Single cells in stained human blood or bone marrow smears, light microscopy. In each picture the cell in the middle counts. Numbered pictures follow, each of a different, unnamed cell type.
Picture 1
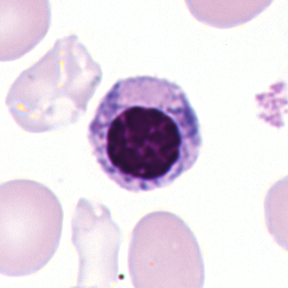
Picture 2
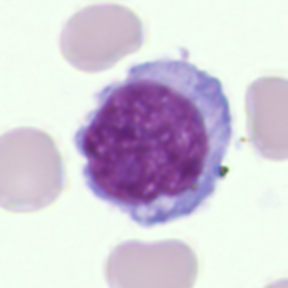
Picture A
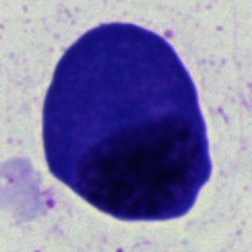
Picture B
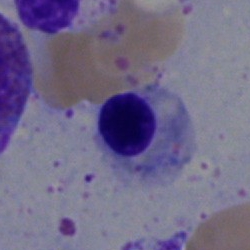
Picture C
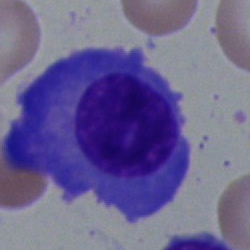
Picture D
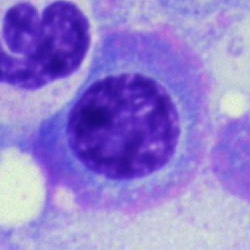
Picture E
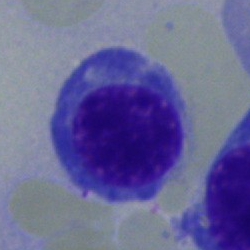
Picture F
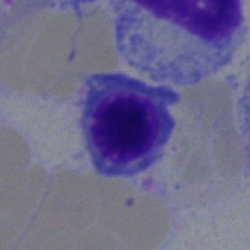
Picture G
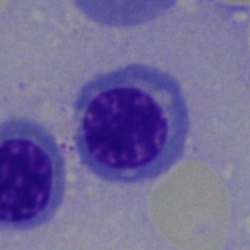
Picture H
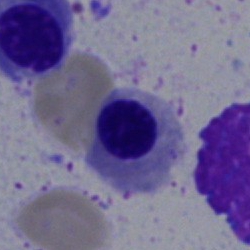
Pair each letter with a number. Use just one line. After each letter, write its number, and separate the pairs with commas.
A 2, B 1, C 2, D 2, E 1, F 1, G 1, H 1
